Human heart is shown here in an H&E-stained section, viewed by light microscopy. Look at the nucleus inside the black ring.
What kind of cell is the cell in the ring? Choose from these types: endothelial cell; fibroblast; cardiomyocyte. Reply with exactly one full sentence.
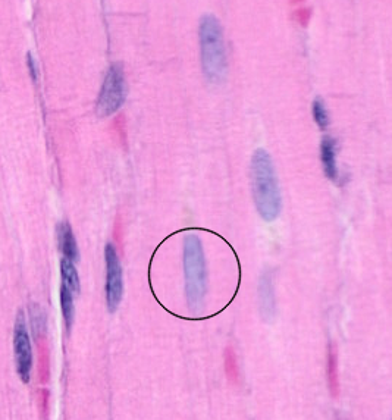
The identity of the cell in the ring: it is a cardiomyocyte.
